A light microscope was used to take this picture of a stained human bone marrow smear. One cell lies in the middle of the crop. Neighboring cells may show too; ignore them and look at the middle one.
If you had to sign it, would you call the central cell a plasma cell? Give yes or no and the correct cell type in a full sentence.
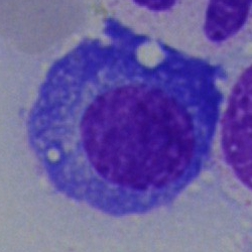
Yes, the middle cell of the field is a plasma cell.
